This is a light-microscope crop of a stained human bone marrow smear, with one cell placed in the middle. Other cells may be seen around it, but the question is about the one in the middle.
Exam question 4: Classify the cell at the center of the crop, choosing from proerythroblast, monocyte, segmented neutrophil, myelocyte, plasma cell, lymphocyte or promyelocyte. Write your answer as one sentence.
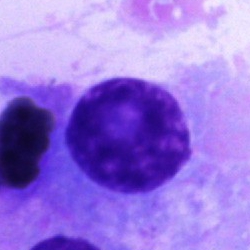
Whatever else lies nearby, the middle cell is a plasma cell.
